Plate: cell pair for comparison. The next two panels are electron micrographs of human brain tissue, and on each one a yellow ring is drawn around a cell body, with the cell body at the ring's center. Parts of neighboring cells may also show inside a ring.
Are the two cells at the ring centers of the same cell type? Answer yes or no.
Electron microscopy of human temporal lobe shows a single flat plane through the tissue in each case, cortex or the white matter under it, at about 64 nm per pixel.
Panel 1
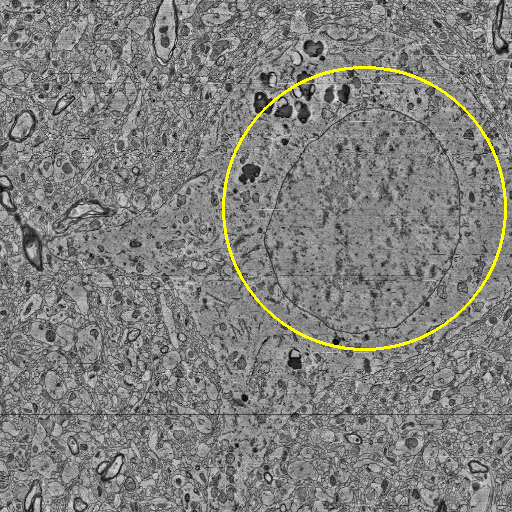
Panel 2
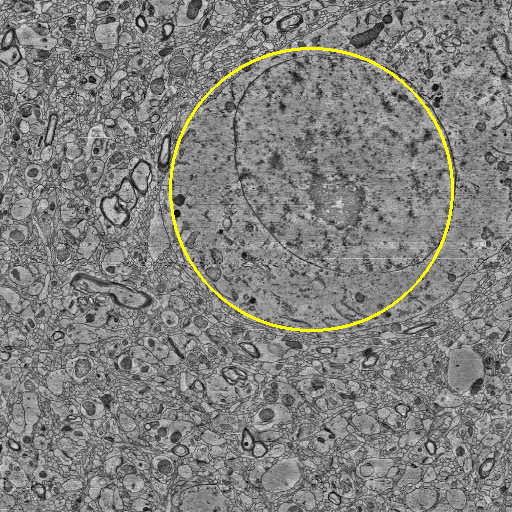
yes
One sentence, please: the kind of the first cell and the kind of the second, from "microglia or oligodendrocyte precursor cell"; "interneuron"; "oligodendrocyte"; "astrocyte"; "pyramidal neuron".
Each of the two pictures has a pyramidal neuron at the ring centre.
